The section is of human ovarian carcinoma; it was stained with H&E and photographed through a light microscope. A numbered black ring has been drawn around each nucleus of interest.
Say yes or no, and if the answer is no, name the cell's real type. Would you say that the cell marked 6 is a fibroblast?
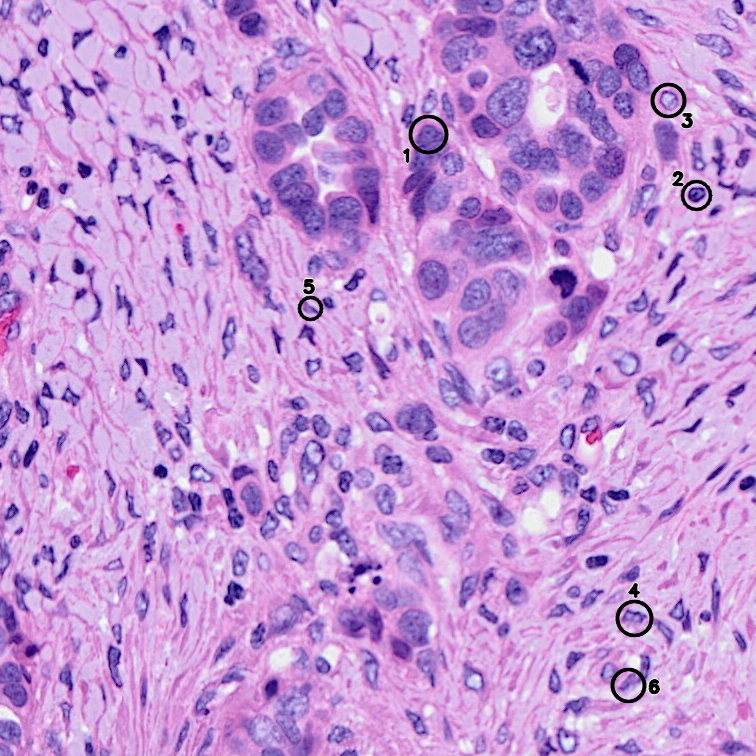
Yes.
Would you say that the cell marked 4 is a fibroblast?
Yes.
